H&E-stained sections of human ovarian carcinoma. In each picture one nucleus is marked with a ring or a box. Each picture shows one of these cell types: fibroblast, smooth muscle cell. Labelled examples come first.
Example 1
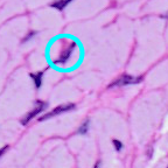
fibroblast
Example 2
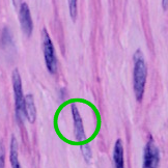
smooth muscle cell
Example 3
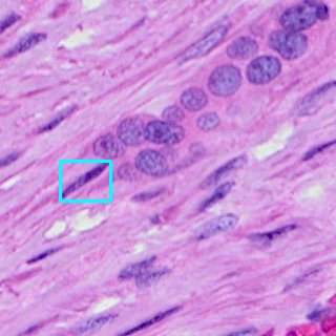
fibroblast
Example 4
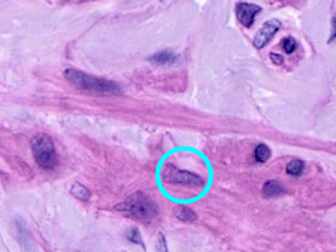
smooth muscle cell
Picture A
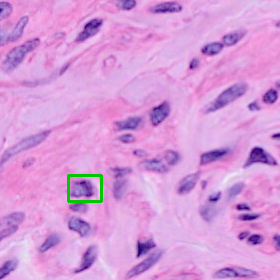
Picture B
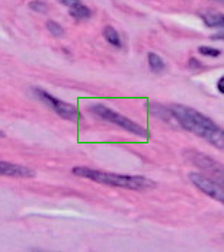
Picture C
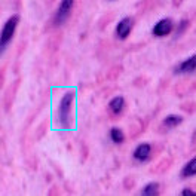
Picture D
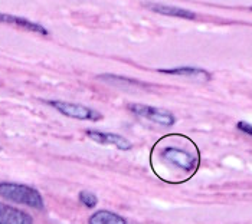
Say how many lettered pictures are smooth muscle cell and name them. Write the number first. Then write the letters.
3: A, B, C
